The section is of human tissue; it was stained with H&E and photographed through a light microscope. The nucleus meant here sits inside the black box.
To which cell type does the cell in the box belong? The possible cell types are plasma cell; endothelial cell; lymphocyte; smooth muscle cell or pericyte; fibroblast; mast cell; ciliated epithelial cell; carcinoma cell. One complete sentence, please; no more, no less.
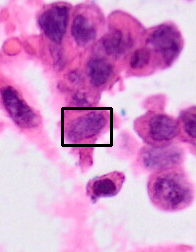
So far as cell type goes, the cell in the box is a carcinoma cell.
